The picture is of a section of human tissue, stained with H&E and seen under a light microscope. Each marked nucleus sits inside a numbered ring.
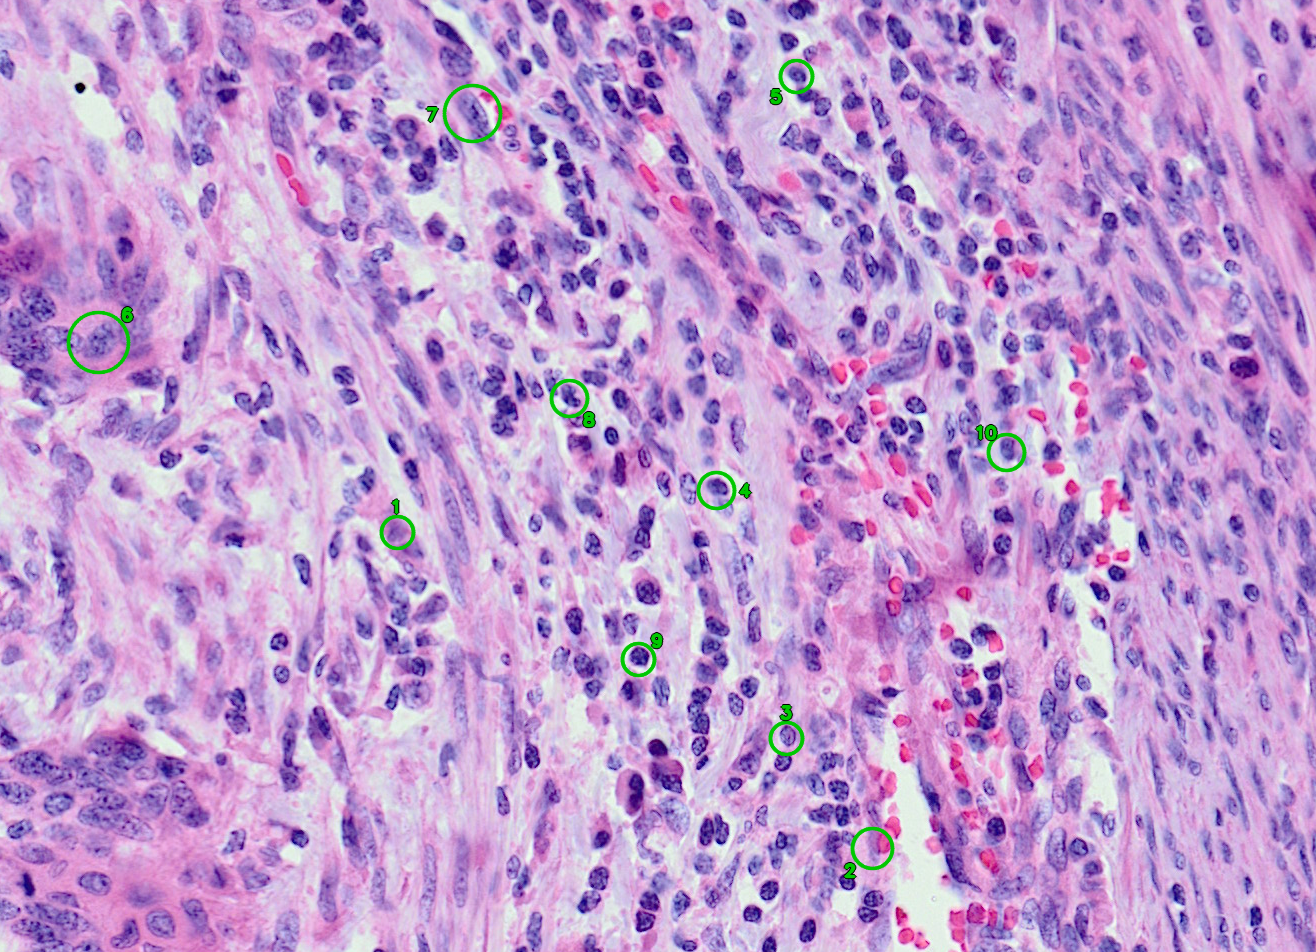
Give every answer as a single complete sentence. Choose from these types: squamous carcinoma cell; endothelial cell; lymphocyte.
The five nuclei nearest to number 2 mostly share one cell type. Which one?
Lymphocytes make up most of the five nuclei closest to number 2.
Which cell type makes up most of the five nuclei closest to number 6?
Around number 6, most of the five nearest nuclei are those of squamous carcinoma cells.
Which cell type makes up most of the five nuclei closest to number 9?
Of the five nuclei nearest to number 9, most belong to lymphocytes.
